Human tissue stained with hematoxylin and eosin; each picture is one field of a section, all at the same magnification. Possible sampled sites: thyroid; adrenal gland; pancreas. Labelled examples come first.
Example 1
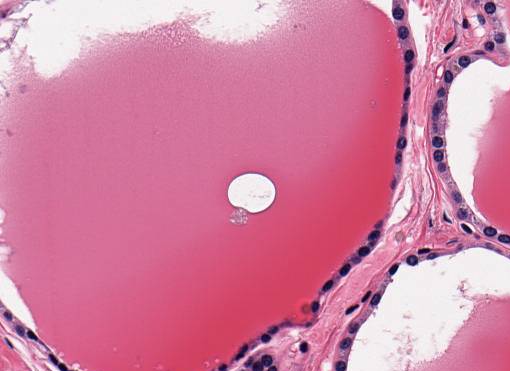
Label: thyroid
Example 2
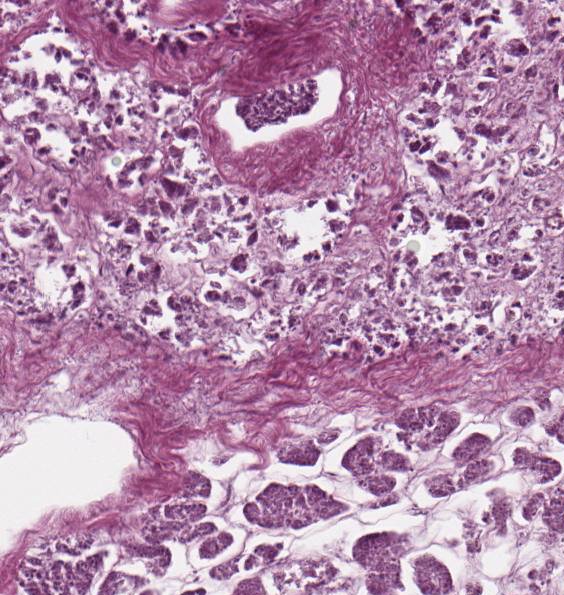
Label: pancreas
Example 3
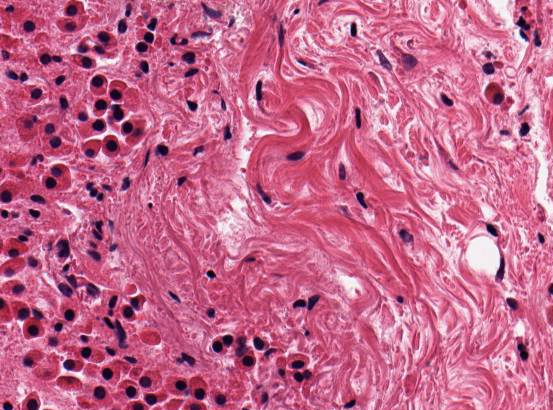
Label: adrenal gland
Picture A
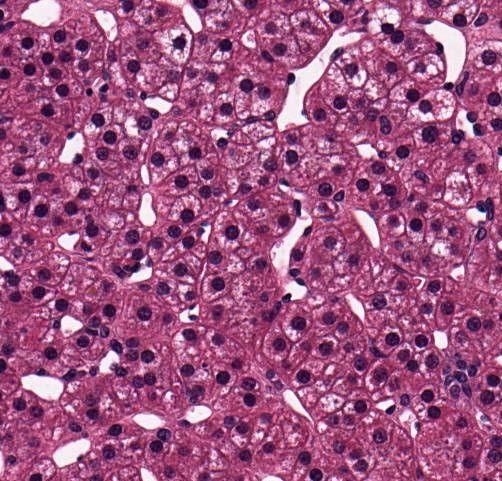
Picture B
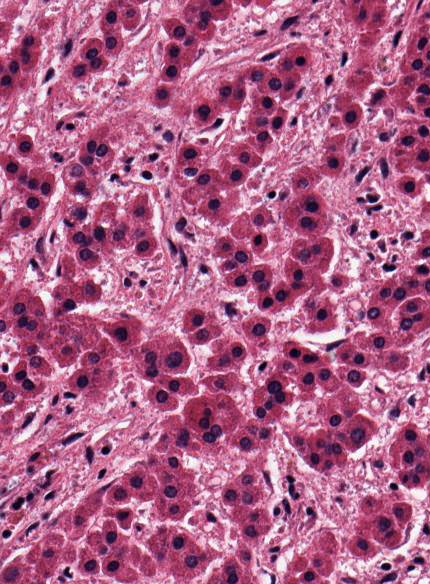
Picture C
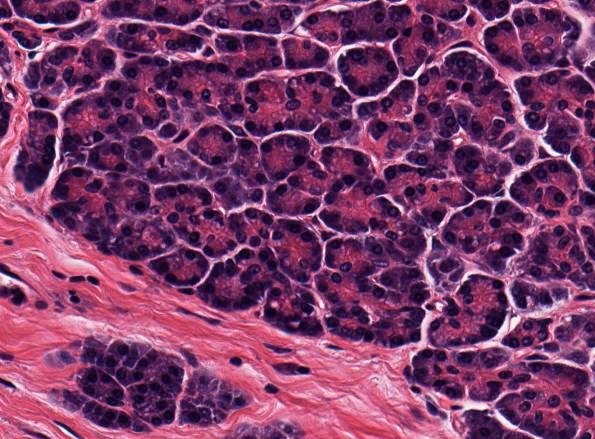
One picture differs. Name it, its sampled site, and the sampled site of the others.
Odd one out: C (pancreas). The rest: adrenal gland.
